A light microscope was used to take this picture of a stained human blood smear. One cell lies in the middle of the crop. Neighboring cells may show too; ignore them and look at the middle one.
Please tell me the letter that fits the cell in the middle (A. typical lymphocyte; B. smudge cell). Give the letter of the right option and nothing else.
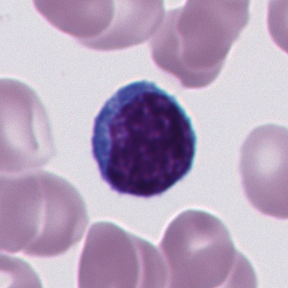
A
